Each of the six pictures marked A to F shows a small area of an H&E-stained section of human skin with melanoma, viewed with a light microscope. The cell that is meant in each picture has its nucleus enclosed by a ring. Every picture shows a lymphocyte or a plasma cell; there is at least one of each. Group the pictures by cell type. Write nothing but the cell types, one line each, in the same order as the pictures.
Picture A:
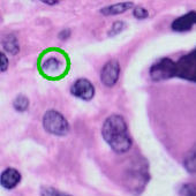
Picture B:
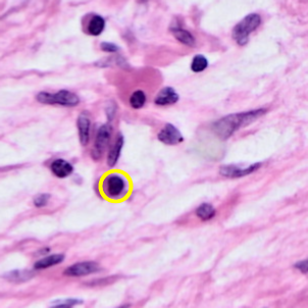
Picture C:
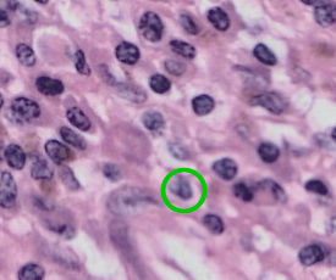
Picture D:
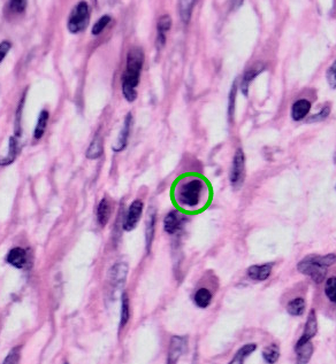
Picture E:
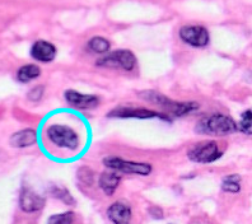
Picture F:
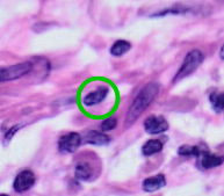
lymphocyte
plasma cell
lymphocyte
plasma cell
lymphocyte
lymphocyte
